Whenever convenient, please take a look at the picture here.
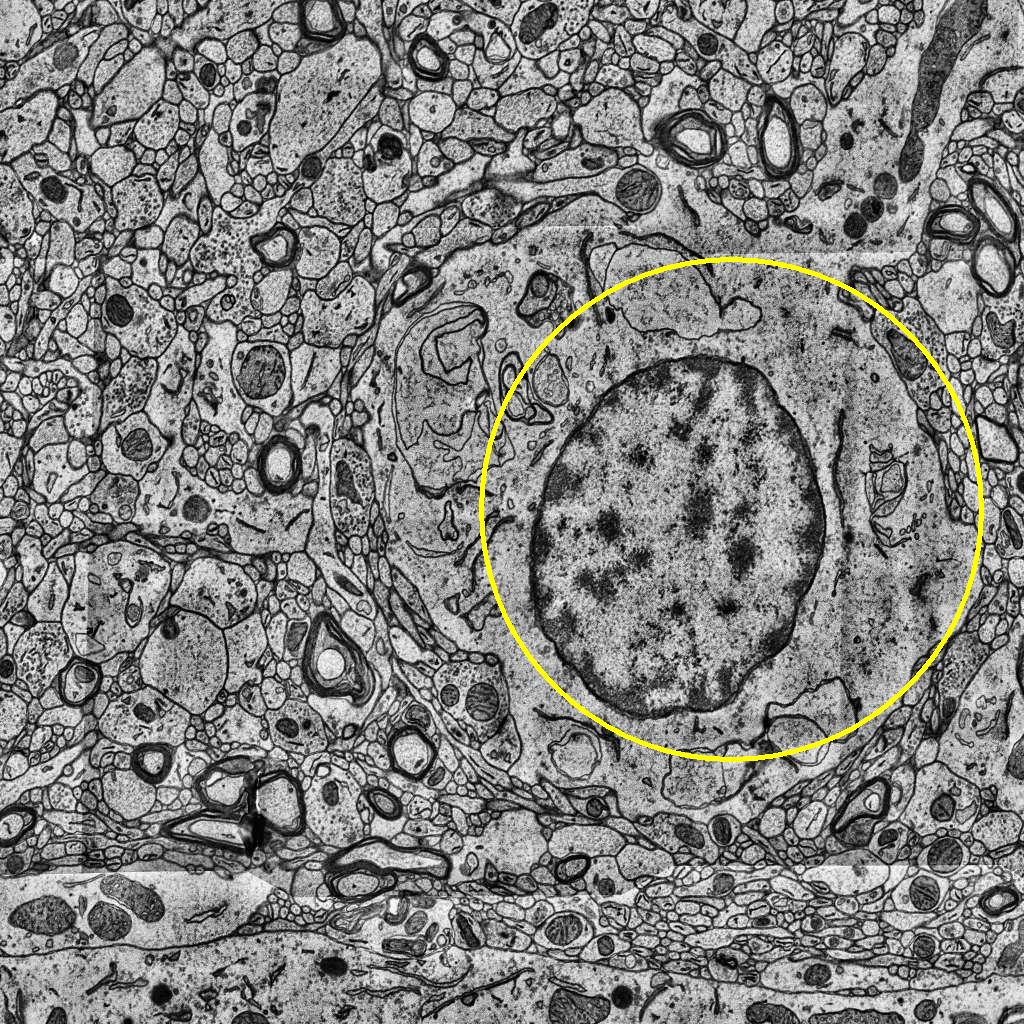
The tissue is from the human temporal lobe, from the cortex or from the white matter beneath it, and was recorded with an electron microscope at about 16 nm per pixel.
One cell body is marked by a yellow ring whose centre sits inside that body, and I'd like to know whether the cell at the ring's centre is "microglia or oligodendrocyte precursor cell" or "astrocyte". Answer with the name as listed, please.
astrocyte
